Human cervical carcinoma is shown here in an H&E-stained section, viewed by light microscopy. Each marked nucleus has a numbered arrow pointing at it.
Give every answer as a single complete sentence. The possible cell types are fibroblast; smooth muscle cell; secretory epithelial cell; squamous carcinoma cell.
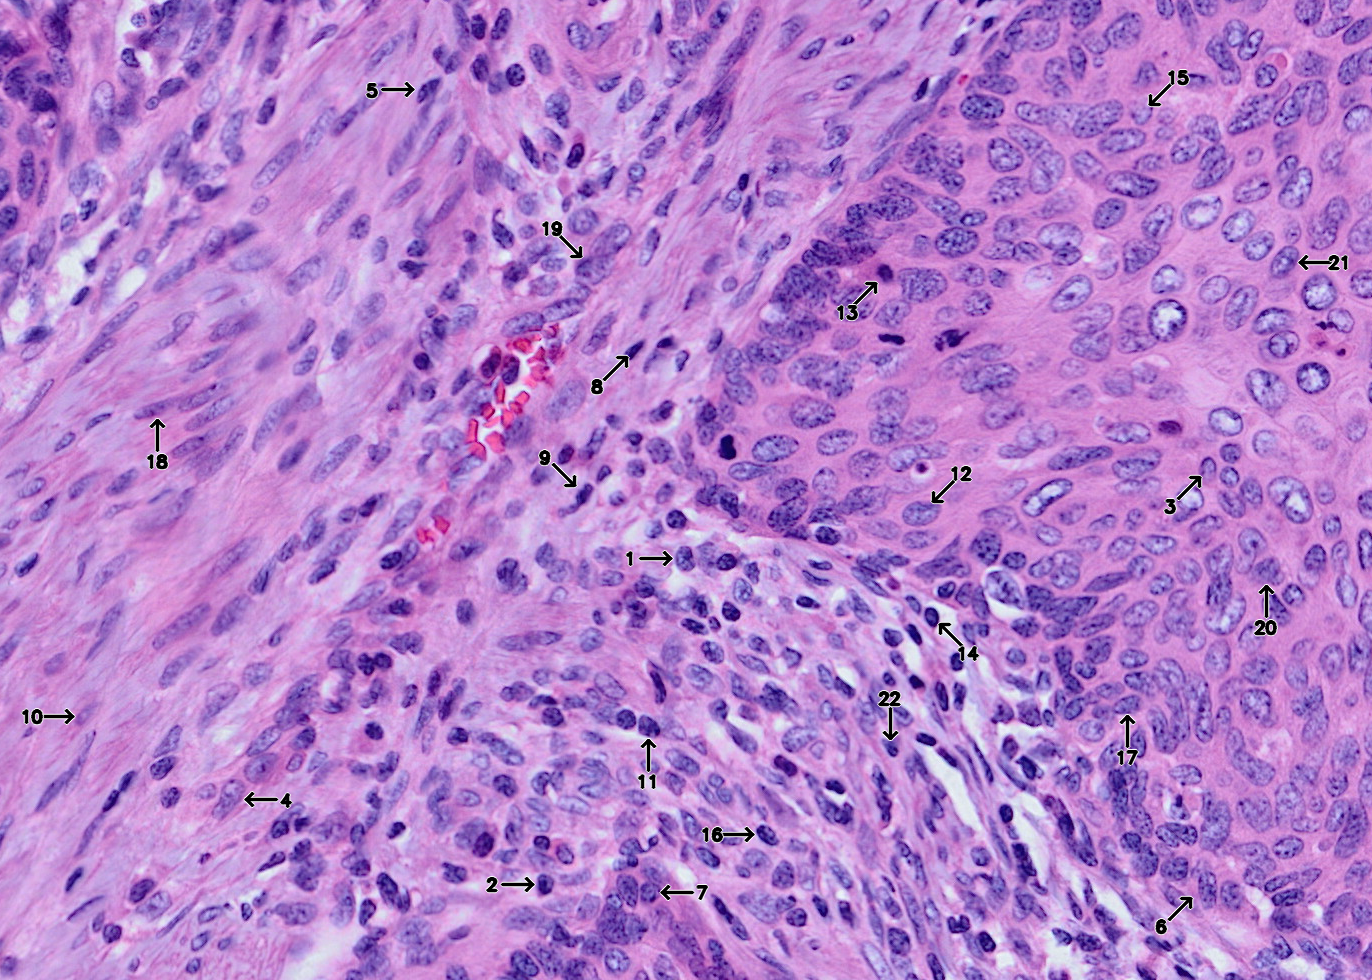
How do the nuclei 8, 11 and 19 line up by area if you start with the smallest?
Smallest first, the nuclei run 8, 11, 19.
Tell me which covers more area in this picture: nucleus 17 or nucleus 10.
Number 17 is larger; its area is about 2 times that of number 10.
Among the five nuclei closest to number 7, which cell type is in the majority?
The majority of the five nuclei closest to number 7 belong to squamous carcinoma cells.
